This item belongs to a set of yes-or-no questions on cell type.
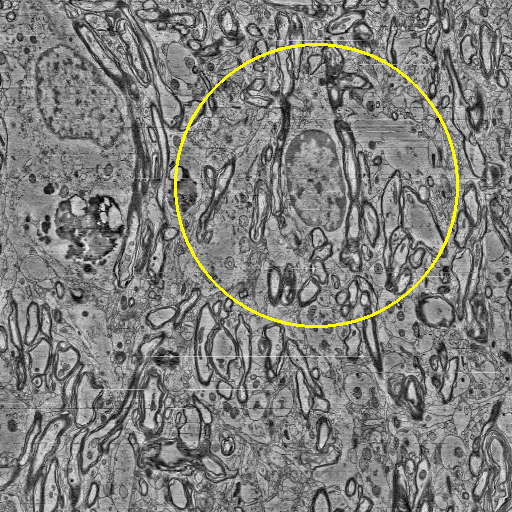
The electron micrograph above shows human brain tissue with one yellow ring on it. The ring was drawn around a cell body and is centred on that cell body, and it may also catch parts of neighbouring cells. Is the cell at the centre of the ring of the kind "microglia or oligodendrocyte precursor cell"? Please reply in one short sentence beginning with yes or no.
Yes, that cell is of the named kind.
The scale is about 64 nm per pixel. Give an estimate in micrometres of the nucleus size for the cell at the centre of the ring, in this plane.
In this plane, about 7 micrometres in length and 4 in width.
